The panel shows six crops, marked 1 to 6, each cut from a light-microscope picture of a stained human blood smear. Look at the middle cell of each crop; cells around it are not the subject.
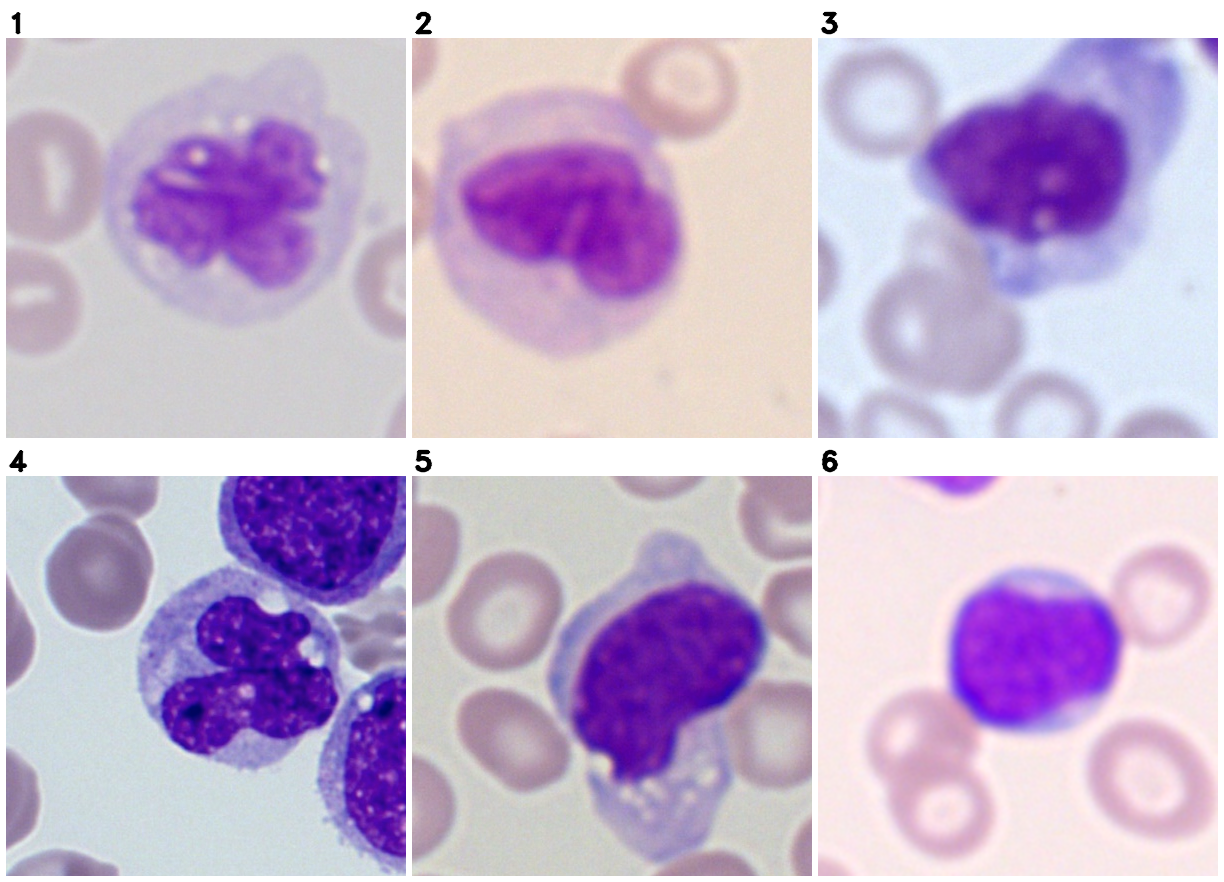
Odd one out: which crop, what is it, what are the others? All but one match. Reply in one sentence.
A different cell type, a myeloblast, occupies crop 6; the other crops show monocytes.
